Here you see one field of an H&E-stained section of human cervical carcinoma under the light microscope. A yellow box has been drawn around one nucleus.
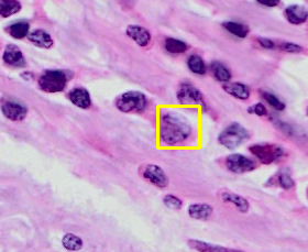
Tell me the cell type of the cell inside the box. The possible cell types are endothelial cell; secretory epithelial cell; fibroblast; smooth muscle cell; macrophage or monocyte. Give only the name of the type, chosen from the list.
macrophage or monocyte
